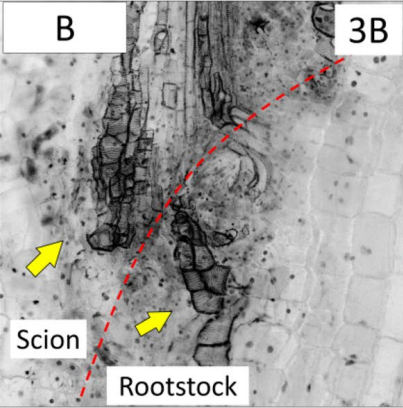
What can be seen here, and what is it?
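The surrounding tissue consists of larger, pale, thin-walled polygonal parenchyma cells arranged in rows. At the upper edge a few elongated cells run in parallel files.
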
